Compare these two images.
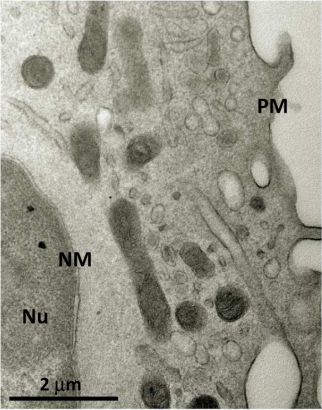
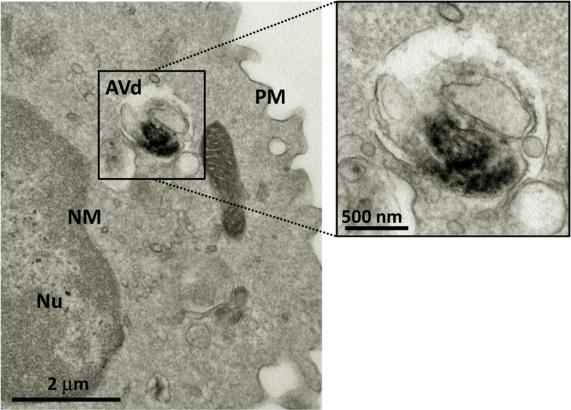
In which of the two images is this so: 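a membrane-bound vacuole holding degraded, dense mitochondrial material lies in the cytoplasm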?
The second image.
